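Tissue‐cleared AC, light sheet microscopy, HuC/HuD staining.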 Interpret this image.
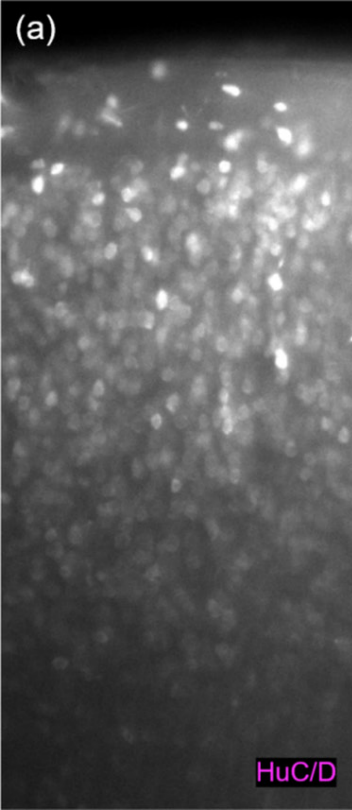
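A strip of cortex in which neuronal cell bodies appear as bright rounded profiles on a grey background. They are scattered densely from just below the surface downward, with some very bright bodies near the top, and grow dimmer and less distinct with depth.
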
